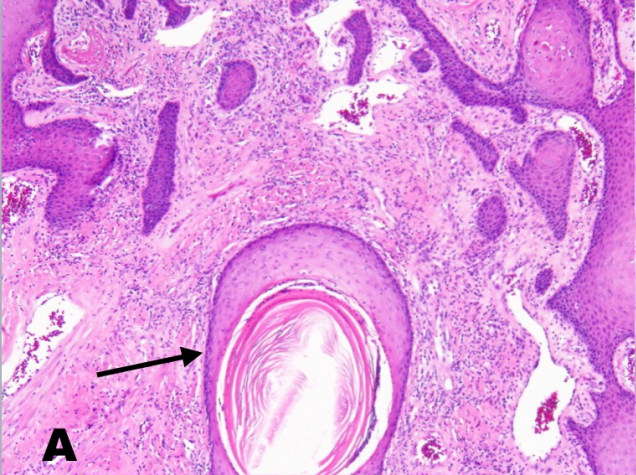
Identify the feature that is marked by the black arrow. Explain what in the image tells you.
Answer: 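Keratin pearls. The arrow points to a round nest of squamous cells surrounding concentric pink lamellae. The pink laminated material fills the centre of the nest, ringed by a purple epithelial rim.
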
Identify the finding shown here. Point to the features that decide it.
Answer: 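Keratinizing (well-differentiated) squamous cell carcinoma. Irregular tongues and nests of stratified squamous epithelium extend into the stroma. A large nest contains concentric pink keratin.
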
